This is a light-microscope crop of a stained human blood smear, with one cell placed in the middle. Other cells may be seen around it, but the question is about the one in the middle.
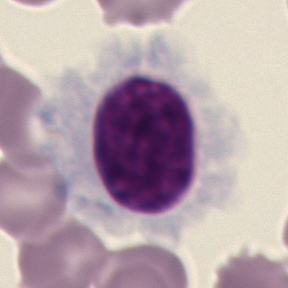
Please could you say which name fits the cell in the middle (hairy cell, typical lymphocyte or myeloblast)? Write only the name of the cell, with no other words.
hairy cell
